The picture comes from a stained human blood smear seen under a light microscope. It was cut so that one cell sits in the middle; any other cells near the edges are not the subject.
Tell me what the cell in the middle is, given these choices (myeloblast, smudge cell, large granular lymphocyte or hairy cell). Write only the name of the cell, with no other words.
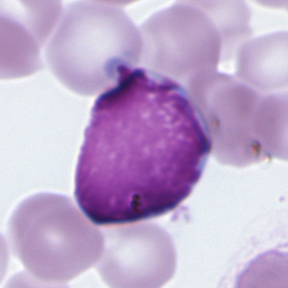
smudge cell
